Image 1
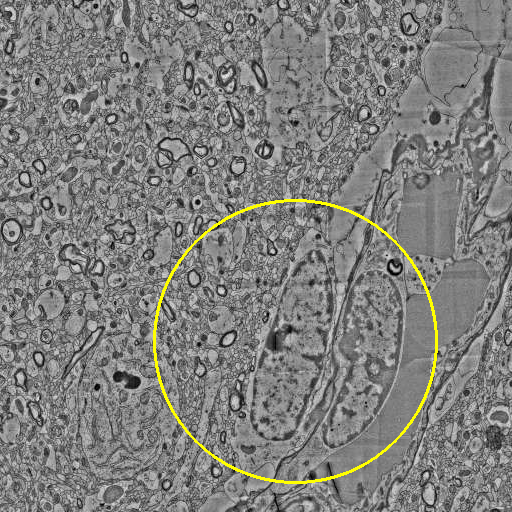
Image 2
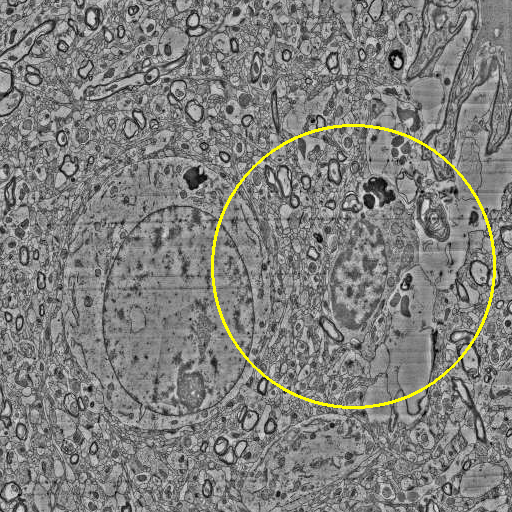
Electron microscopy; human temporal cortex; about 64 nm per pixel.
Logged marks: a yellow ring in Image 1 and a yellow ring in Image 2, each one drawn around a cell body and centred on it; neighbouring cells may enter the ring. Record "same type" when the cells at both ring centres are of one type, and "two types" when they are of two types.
two types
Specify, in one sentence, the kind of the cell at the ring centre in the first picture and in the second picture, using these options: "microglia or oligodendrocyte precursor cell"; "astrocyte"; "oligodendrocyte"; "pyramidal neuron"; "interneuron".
So the first is a microglial cell or oligodendrocyte precursor cell, the second an oligodendrocyte.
